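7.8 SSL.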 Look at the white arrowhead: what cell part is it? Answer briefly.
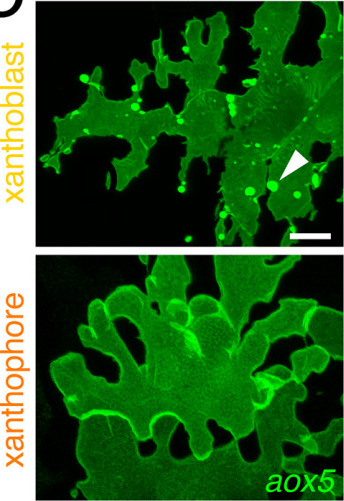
Membrane blebs.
